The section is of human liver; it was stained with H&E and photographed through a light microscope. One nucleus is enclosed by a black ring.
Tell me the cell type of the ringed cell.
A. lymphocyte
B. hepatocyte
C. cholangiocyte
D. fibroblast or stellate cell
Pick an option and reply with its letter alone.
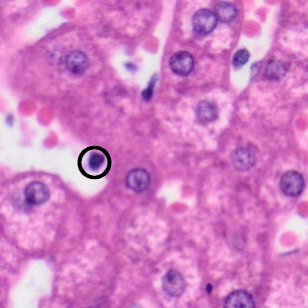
A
